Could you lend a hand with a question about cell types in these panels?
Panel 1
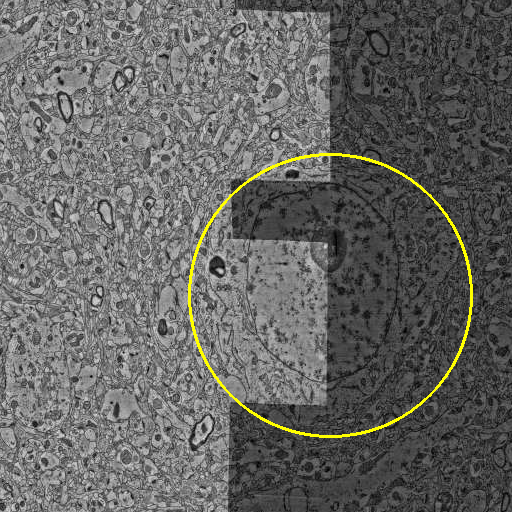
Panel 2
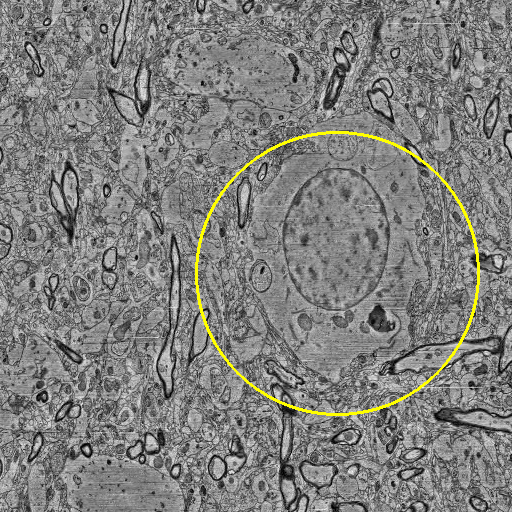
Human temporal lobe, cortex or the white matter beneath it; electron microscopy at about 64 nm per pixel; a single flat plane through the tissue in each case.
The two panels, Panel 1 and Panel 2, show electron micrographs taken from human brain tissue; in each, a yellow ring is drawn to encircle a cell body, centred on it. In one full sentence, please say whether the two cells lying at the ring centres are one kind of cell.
No, the cells at the ring centres in the two panels are two kinds of cell.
